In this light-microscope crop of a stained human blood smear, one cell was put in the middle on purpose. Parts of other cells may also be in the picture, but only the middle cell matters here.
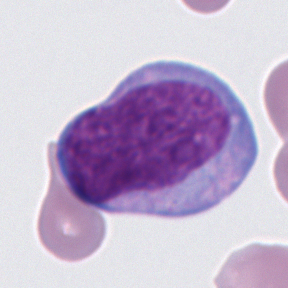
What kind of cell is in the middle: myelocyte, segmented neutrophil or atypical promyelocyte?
atypical promyelocyte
